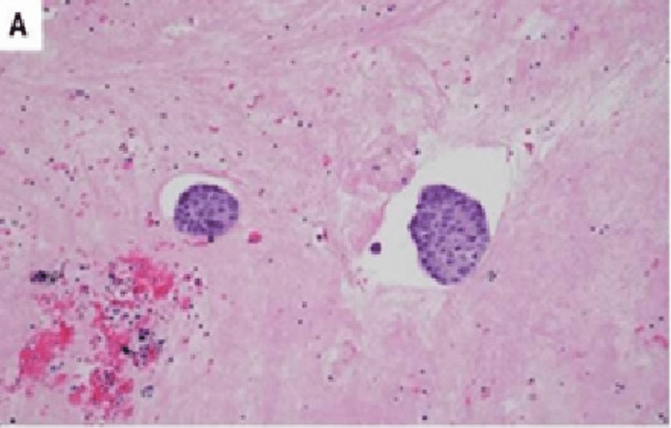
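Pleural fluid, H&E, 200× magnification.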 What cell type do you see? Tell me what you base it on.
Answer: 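Two compact, rounded clusters of cells sit in clear spaces. Nuclei within the clusters are dark purple and crowded. The background is pale pink amorphous material with scattered small single cells. That points to this answer: clusters of neoplastic epithelial cells.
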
